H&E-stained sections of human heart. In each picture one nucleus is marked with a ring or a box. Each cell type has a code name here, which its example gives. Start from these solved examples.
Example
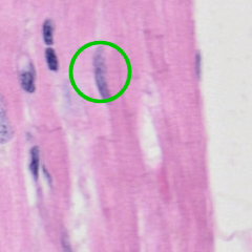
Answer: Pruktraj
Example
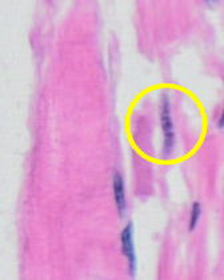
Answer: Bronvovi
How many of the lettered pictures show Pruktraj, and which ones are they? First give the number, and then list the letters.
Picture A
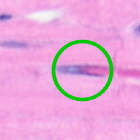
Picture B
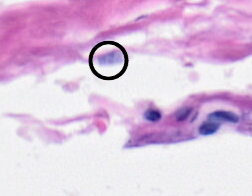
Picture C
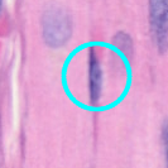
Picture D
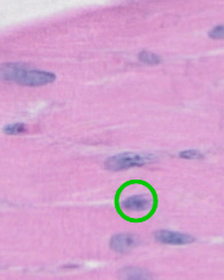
2: A, C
